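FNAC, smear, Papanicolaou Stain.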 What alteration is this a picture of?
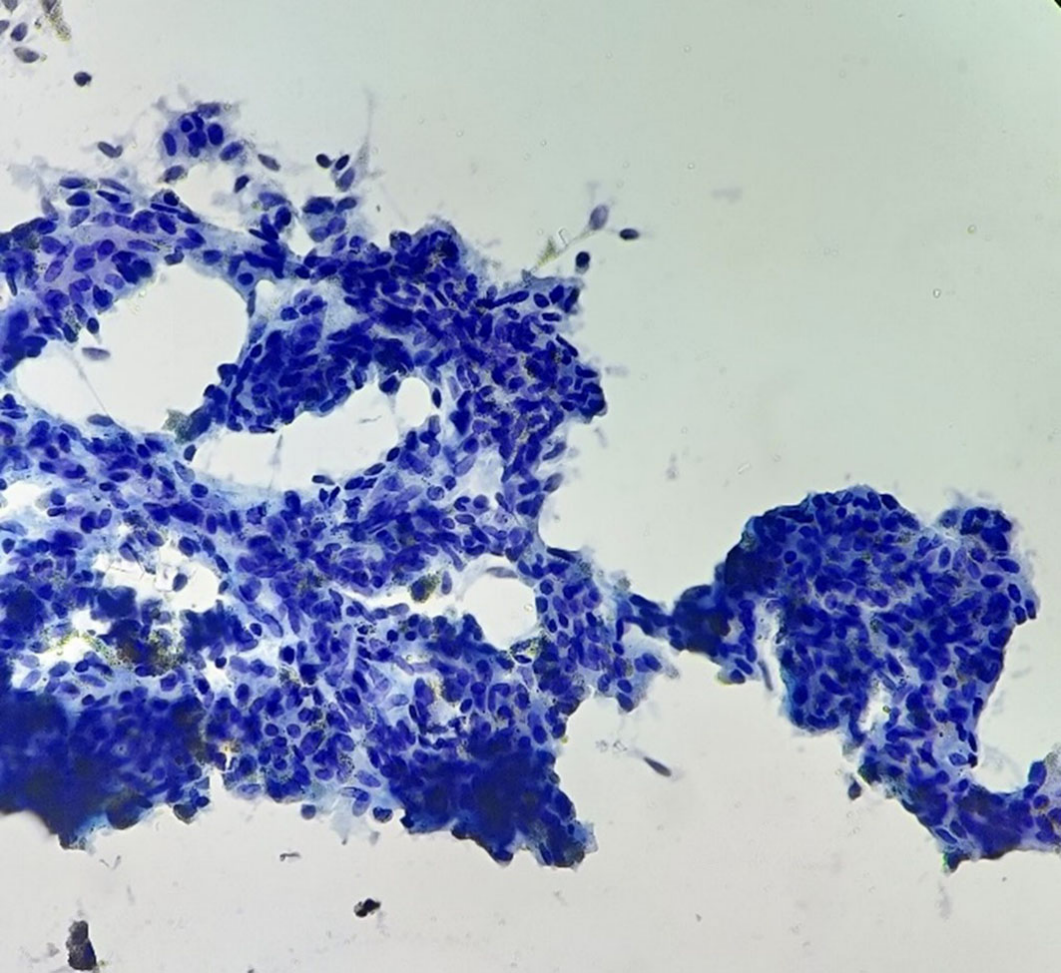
Cytoplasmic pigments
